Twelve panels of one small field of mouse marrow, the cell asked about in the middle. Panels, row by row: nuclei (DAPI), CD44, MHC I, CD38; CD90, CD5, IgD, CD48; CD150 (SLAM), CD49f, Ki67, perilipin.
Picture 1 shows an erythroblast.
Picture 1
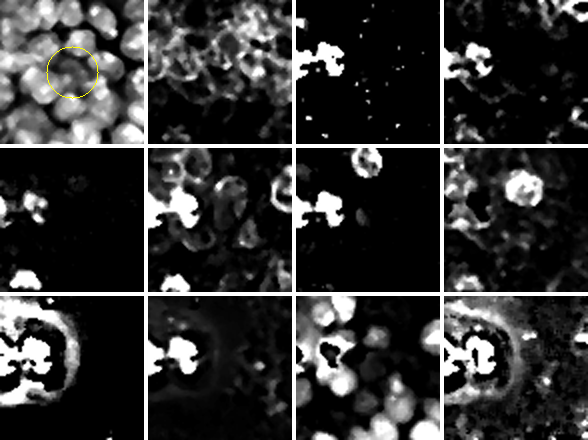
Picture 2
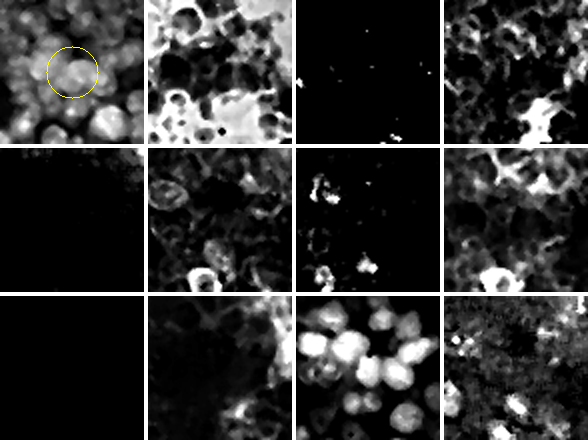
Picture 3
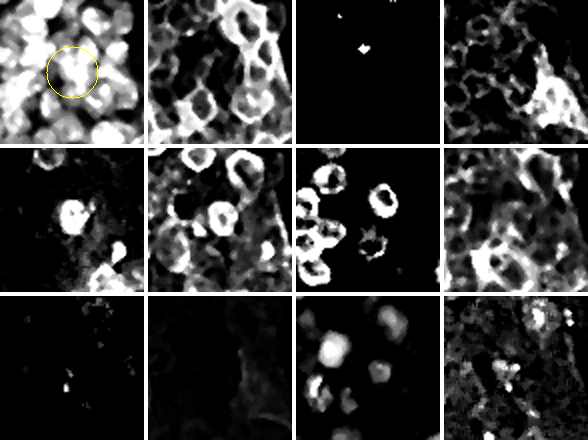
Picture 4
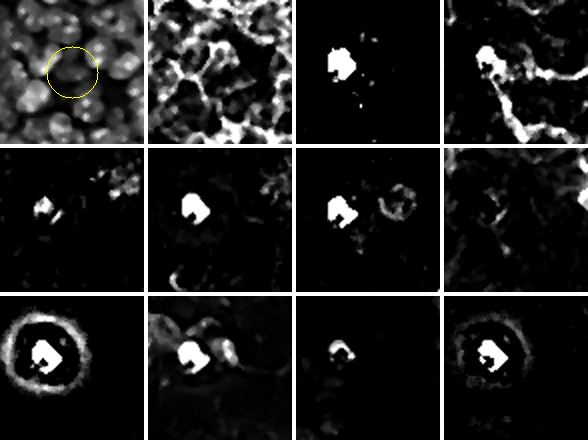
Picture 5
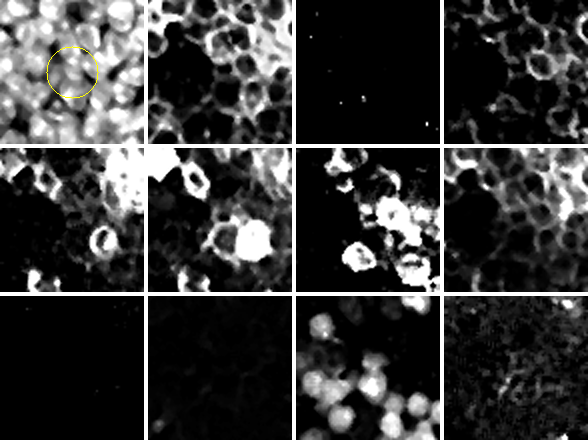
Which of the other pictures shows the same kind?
Picture 2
